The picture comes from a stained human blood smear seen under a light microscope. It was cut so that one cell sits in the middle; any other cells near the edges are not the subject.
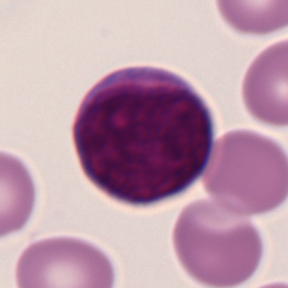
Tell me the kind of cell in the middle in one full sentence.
The cell featured at the centre of this crop is a myeloblast.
